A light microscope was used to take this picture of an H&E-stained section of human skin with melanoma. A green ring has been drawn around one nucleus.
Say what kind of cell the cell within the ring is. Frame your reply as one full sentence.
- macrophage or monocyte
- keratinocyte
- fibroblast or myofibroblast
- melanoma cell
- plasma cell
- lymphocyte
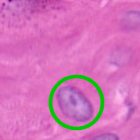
Students should answer that the cell within the ring is a keratinocyte.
